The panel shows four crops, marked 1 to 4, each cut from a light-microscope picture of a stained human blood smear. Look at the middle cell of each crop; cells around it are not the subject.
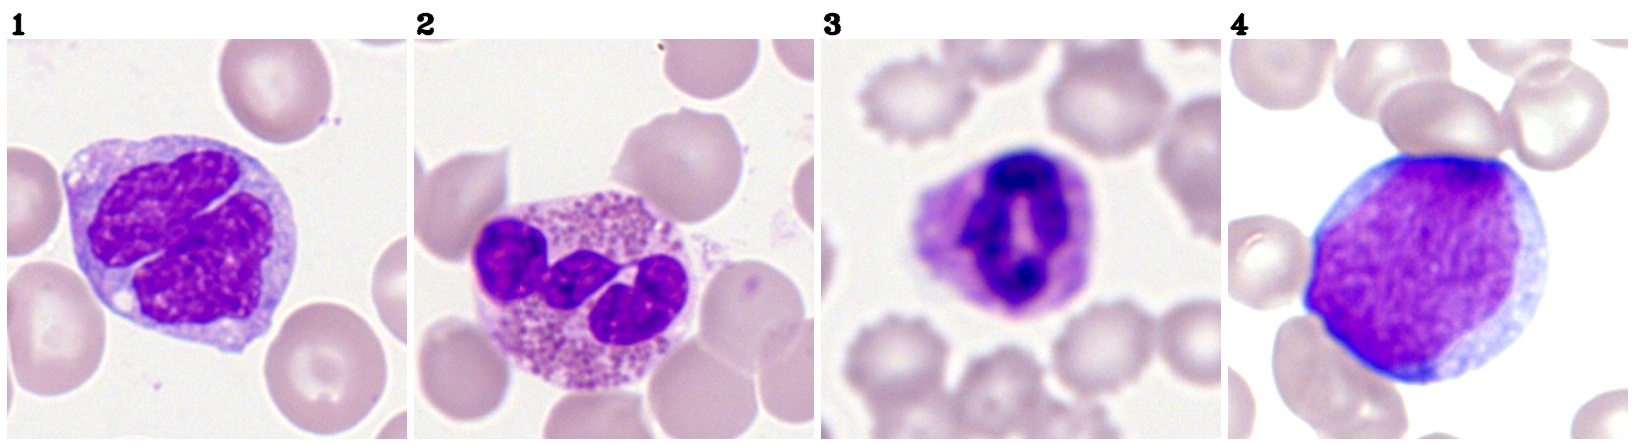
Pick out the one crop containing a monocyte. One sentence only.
The crop bearing a monocyte is crop 1.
